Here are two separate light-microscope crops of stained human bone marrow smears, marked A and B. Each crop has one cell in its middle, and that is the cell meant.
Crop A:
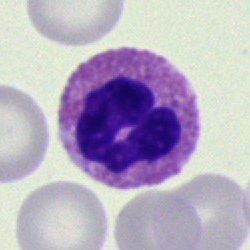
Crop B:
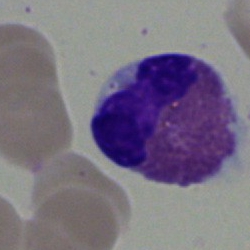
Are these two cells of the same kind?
yes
